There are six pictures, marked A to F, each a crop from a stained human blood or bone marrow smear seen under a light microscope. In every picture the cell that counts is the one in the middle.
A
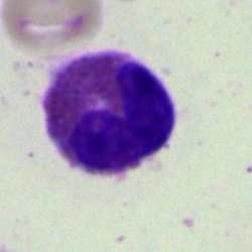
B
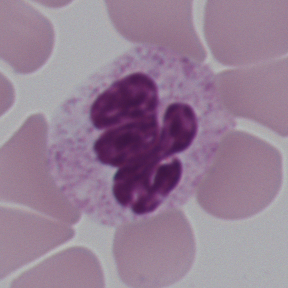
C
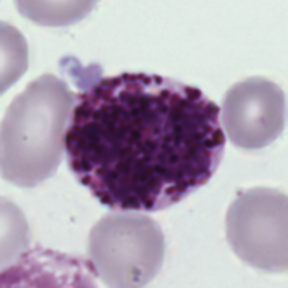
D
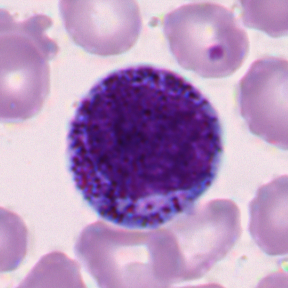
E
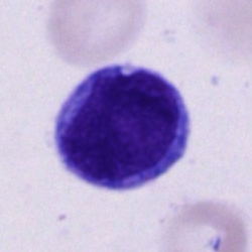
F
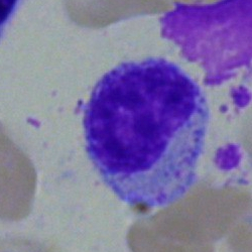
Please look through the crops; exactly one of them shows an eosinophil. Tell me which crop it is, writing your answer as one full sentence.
The one crop that shows an eosinophil is crop A.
